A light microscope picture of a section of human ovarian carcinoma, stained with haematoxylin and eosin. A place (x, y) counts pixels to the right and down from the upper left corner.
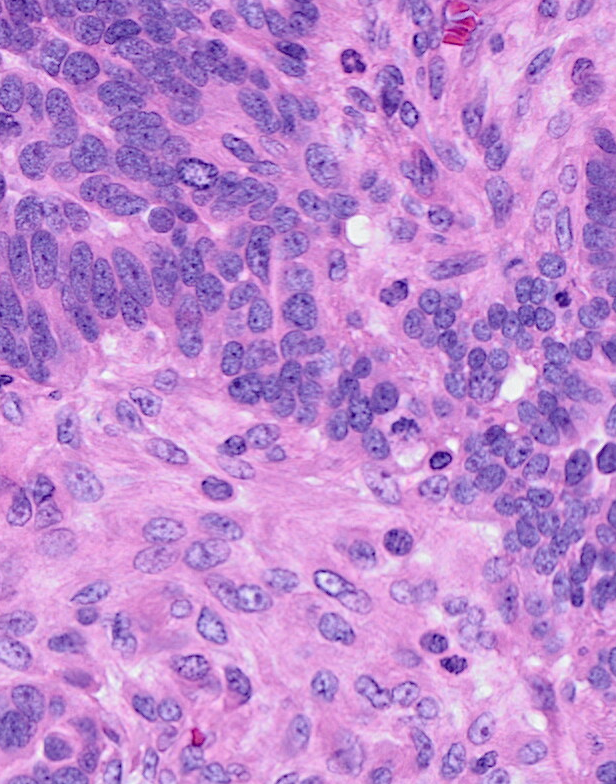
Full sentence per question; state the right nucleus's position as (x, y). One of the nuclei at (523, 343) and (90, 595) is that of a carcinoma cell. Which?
Of the two nuclei, the nucleus belonging to a carcinoma cell is located at (523, 343).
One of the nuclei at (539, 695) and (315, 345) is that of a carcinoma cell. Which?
The nucleus at (315, 345) is contained in a carcinoma cell.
